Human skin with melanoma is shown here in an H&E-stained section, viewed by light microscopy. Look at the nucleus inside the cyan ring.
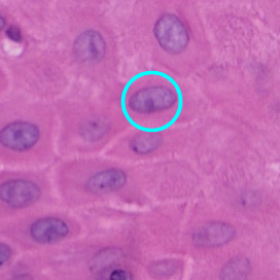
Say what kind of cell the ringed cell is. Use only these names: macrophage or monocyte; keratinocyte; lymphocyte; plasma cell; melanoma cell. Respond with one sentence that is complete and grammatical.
In cellular terms, the ringed cell is a keratinocyte.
